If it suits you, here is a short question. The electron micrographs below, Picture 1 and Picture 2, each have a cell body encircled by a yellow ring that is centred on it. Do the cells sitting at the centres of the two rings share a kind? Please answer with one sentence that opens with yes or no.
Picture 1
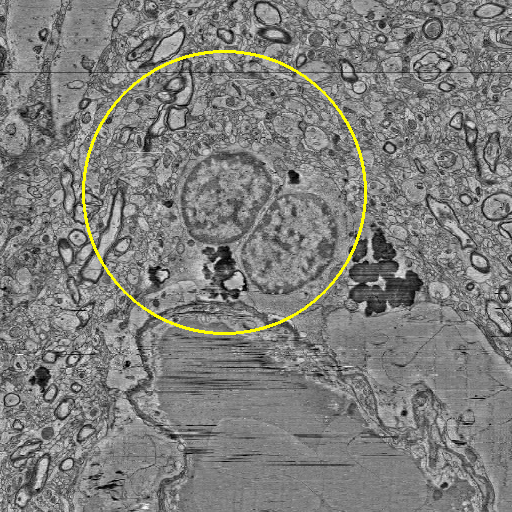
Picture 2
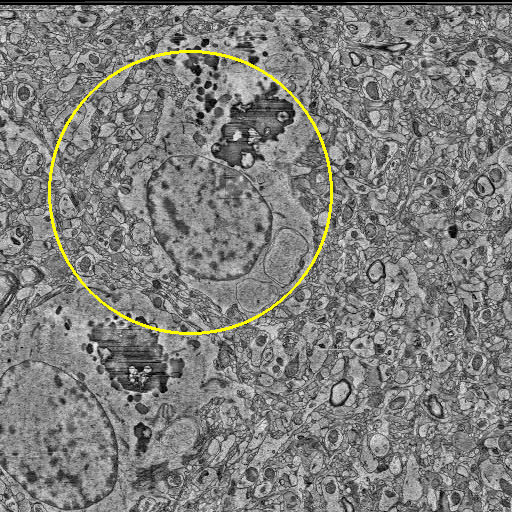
No, the two cells sitting at the ring centres fall into two kinds.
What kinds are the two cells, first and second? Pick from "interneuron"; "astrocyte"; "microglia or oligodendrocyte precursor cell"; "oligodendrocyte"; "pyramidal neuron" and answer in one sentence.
The second picture holds an astrocyte in its ring, and the first holds an oligodendrocyte.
